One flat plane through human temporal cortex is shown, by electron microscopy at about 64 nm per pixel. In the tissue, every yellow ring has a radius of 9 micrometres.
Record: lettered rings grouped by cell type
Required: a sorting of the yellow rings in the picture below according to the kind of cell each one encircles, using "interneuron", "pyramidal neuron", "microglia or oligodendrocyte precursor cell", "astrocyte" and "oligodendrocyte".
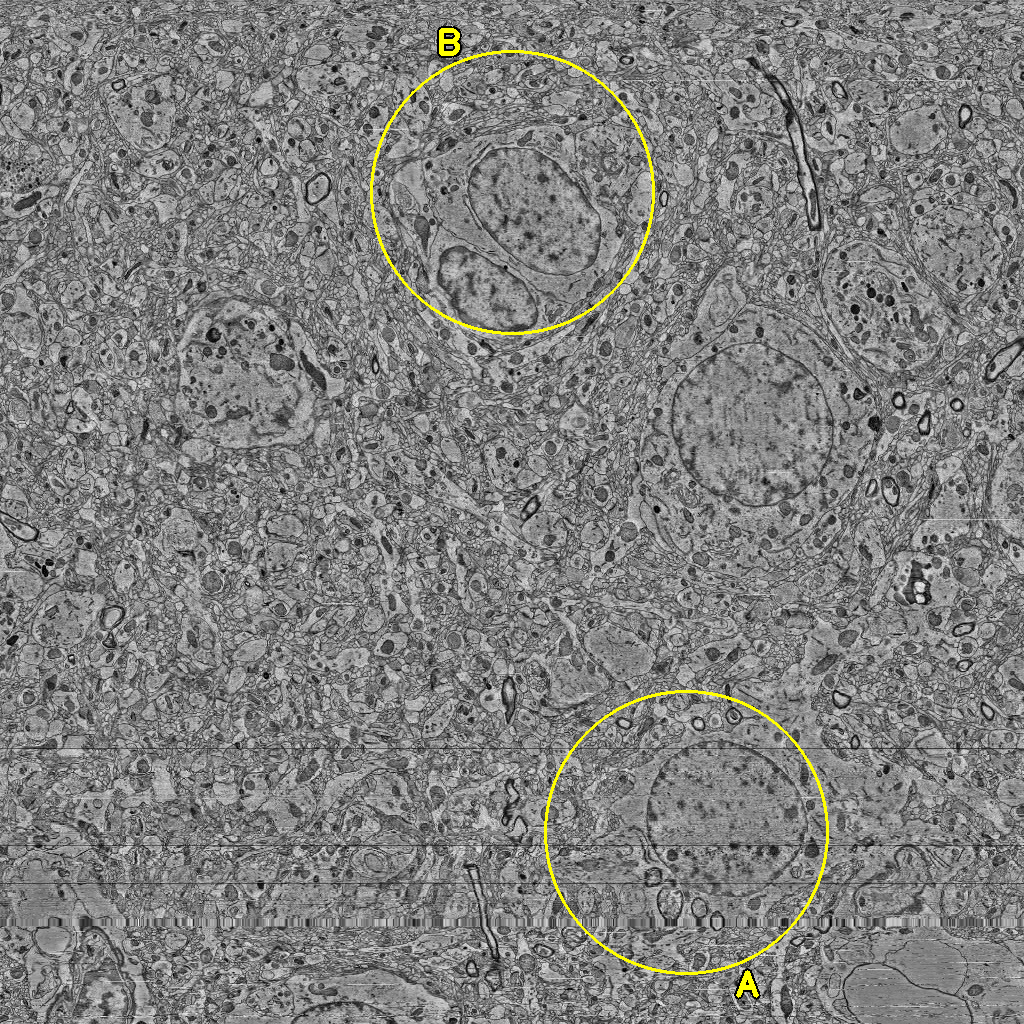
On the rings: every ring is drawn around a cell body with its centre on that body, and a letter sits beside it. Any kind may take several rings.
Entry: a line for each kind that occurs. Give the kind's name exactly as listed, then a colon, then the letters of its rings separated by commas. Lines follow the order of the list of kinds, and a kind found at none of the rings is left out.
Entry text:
microglia or oligodendrocyte precursor cell: B
astrocyte: A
